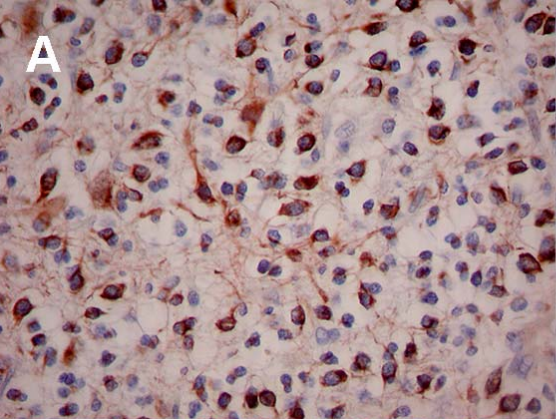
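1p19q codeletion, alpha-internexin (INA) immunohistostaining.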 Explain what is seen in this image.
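This is a cellular oligodendroglioma. It is made of closely packed tumor cells with small, round, fairly uniform blue nuclei. Many of the cells have a clear perinuclear space. A large share of the cells carry a strong brown stain in the cytoplasm around the nucleus, while the rest stay unstained. A fine meshwork of brown-stained fibers fills the space between the cells.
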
